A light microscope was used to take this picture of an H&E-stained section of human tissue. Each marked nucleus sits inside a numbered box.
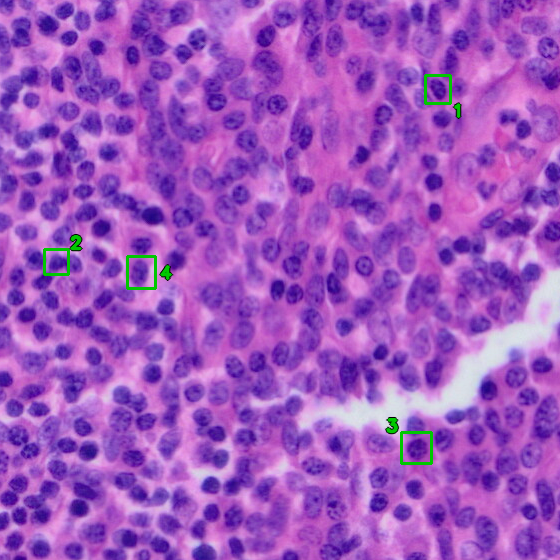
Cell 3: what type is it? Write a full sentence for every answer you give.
The label 3 in this section denotes a plasma cell.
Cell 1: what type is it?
The correct label for cell 1 is a plasma cell.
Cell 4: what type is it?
In the marked set, the cell given number 4 is a plasma cell.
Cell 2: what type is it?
The nucleus marked 2 is the nucleus of a small lymphocyte.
